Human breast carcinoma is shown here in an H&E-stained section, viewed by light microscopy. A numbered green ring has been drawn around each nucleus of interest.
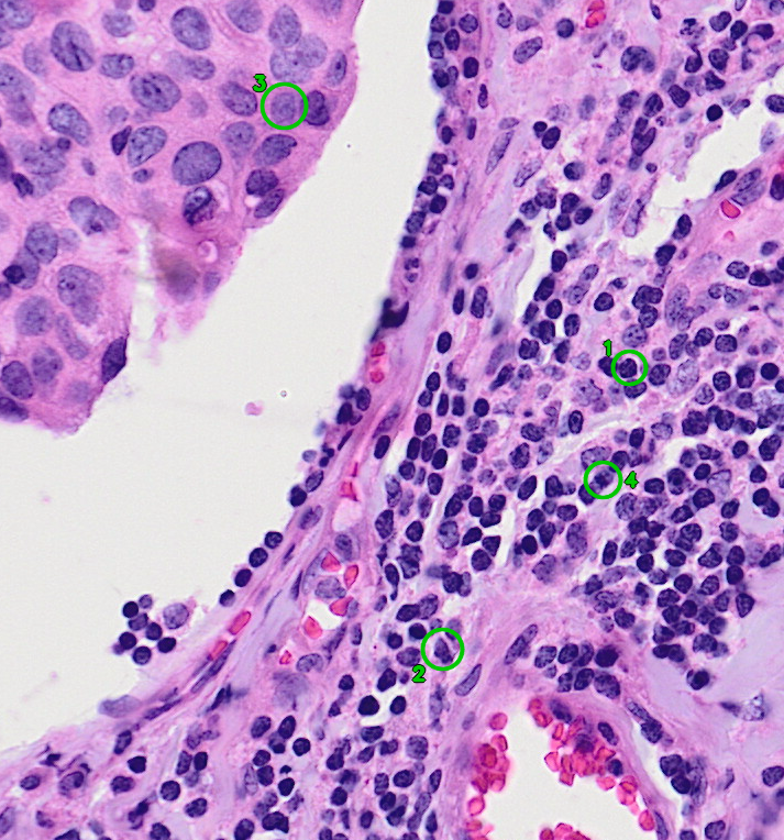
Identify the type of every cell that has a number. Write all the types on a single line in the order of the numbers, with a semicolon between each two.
lymphocyte; lymphocyte; carcinoma cell; lymphocyte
